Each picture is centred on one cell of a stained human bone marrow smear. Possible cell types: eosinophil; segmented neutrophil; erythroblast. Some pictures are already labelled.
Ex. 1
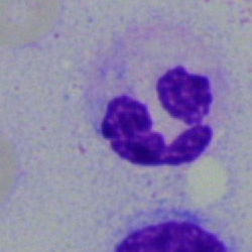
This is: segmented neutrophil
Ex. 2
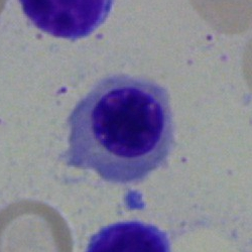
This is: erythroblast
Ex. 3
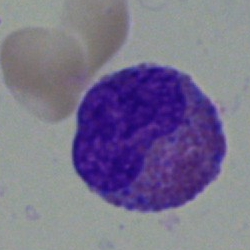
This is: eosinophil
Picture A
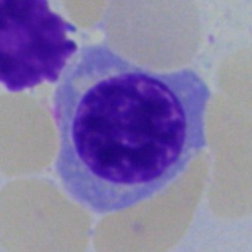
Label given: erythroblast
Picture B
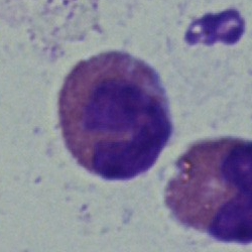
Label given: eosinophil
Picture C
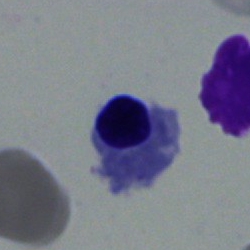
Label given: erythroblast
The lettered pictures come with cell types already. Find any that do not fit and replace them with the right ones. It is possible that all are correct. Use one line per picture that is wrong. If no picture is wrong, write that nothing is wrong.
None of the labels needs changing.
